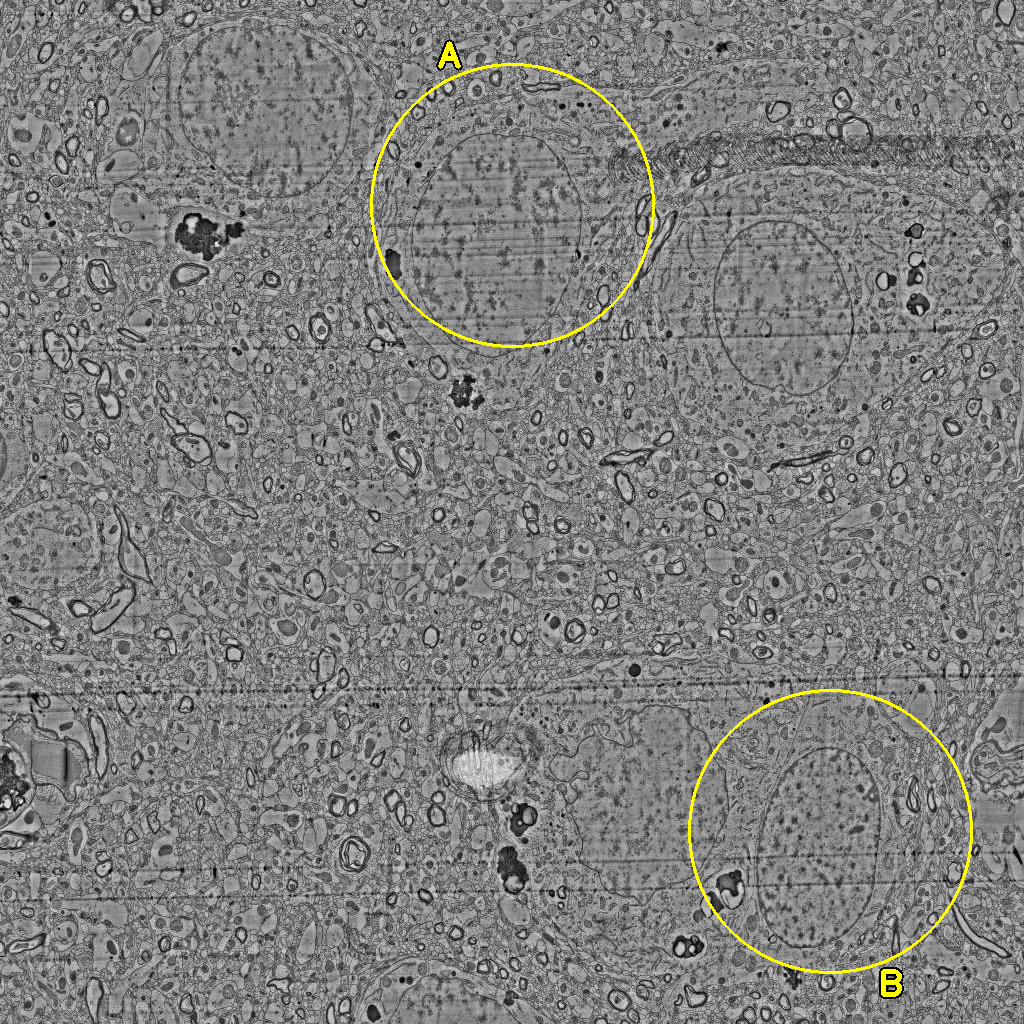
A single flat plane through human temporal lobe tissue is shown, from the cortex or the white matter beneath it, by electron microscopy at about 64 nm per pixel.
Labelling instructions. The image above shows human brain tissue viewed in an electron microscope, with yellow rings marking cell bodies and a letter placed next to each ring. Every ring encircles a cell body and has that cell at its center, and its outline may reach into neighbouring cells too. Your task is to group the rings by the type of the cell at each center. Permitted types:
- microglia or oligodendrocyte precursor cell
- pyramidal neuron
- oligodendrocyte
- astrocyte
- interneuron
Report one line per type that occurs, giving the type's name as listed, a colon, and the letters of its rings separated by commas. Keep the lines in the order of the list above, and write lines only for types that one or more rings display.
microglia or oligodendrocyte precursor cell: B
pyramidal neuron: A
